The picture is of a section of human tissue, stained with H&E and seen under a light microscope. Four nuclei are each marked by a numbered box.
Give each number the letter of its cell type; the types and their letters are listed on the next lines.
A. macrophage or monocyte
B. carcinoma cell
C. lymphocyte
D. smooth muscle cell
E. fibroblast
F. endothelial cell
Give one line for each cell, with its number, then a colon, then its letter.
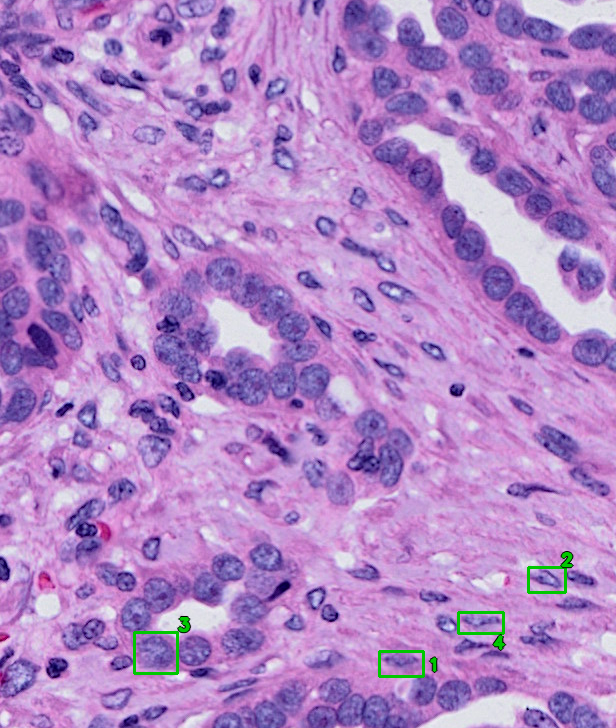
1: E
2: E
3: B
4: E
